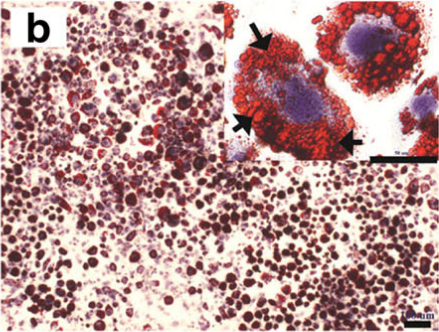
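Densely packed rounded adipocytes fill the field, most of them deeply stained red to dark red. In the enlarged inset, one large cell has its cytoplasm crowded with many round red lipid droplets of varying size surrounding a central blue nucleus. Neighbouring cells at the inset's edge are likewise filled with red droplets.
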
